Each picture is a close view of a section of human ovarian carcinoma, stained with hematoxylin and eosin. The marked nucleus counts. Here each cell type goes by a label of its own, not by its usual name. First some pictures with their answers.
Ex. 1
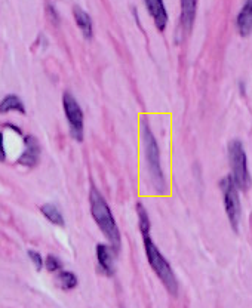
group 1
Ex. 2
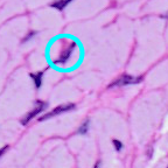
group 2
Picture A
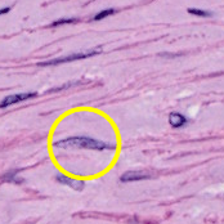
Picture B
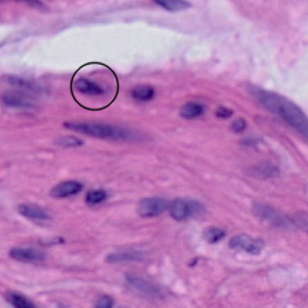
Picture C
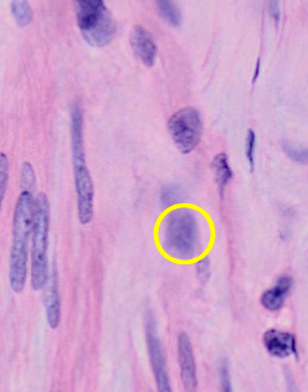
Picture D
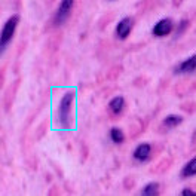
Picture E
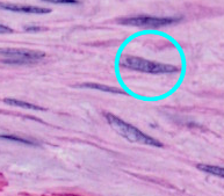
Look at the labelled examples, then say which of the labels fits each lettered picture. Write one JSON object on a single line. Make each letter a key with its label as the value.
{"A": "group 2", "B": "group 1", "C": "group 2", "D": "group 1", "E": "group 2"}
